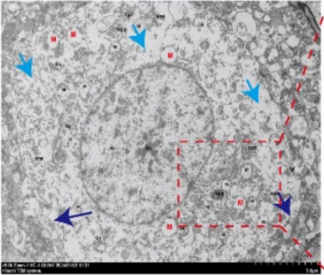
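A neuron's cell body fills most of the view, with a large round nucleus of finely dispersed chromatin, surrounded by pale, sparse cytoplasm in which many rounded, swollen organelles are scattered. In places the boundary of the cell looks indistinct or broken. This is a neuron showing organellar edema, a sparse intracellular matrix of low electron density, and localized damage to the cell membrane.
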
